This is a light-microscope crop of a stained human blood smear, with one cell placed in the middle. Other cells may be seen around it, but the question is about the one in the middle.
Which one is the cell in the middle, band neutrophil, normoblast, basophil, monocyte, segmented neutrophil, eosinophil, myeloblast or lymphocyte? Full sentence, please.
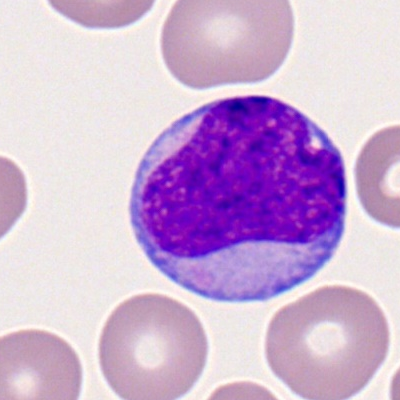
Seen at the centre of the crop is a myeloblast.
